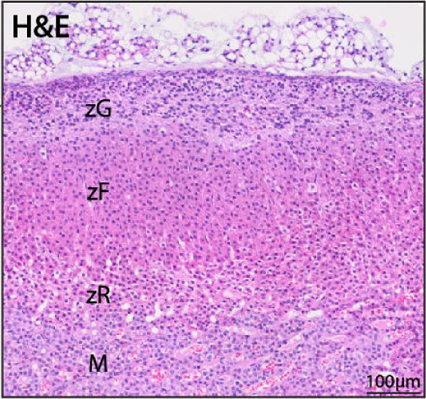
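Above the capsule lies adipose tissue of large empty vacuolated cells. Under the capsule is a band of small cells with dense purple nuclei. The middle zone consists of larger cells with pink cytoplasm in cords separated by thin sinusoids. Toward the bottom the tissue becomes more basophilic, with medullary cells in irregular clusters among small vessels.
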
